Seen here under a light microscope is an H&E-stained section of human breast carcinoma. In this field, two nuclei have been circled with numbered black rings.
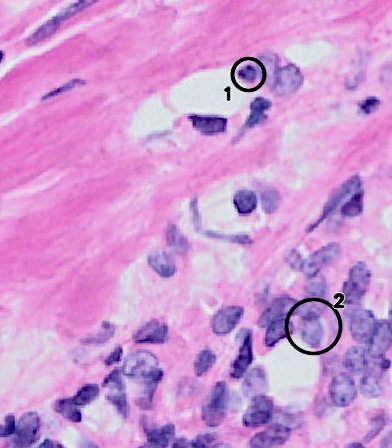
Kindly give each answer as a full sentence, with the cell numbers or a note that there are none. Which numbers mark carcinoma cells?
Of the marked cells, the one numbered 2 is a carcinoma cell and the rest are not.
